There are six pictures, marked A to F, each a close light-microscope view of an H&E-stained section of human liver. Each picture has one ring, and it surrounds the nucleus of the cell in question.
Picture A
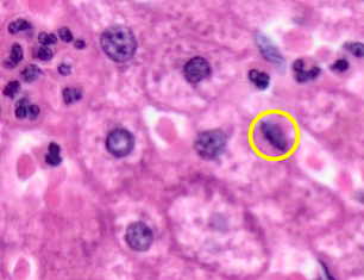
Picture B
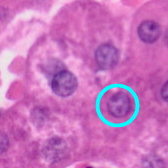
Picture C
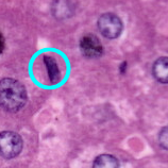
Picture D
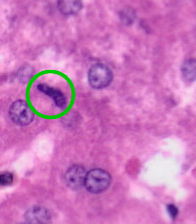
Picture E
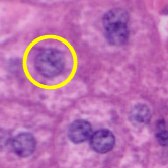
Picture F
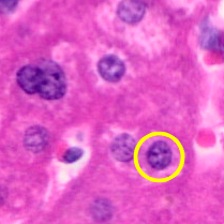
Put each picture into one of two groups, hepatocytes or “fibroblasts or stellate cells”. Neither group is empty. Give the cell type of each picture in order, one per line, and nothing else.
fibroblast or stellate cell
hepatocyte
fibroblast or stellate cell
fibroblast or stellate cell
hepatocyte
hepatocyte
